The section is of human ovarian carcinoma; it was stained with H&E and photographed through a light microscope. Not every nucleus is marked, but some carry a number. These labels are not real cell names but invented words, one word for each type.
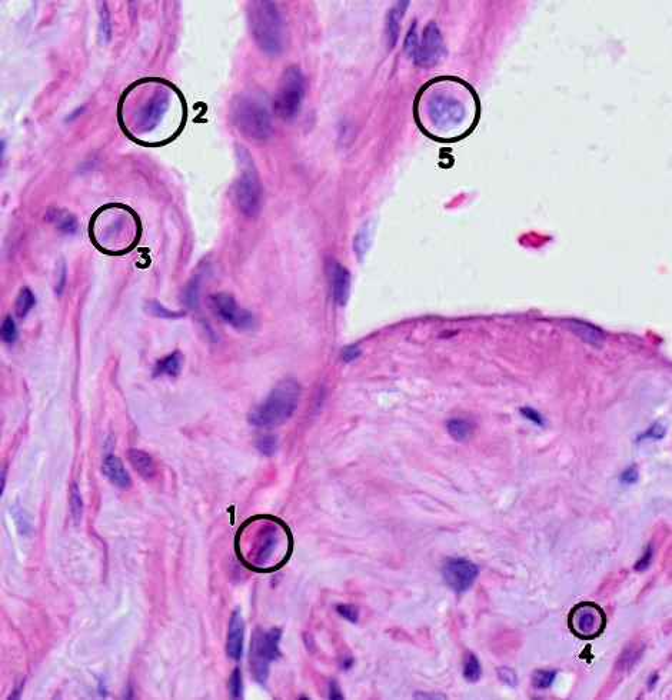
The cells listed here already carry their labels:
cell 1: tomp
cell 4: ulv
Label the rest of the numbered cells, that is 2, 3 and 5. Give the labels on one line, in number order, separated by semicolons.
tomp; ulv; tomp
